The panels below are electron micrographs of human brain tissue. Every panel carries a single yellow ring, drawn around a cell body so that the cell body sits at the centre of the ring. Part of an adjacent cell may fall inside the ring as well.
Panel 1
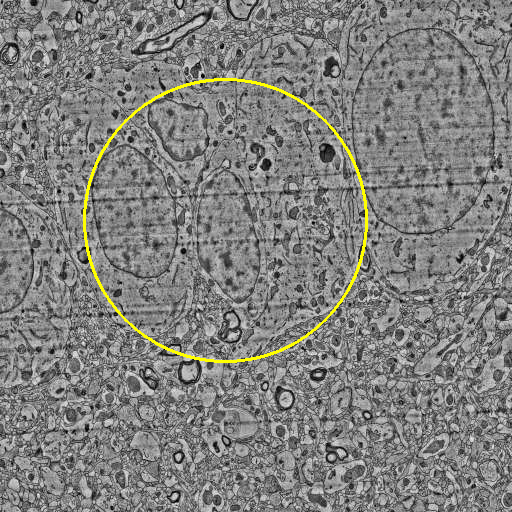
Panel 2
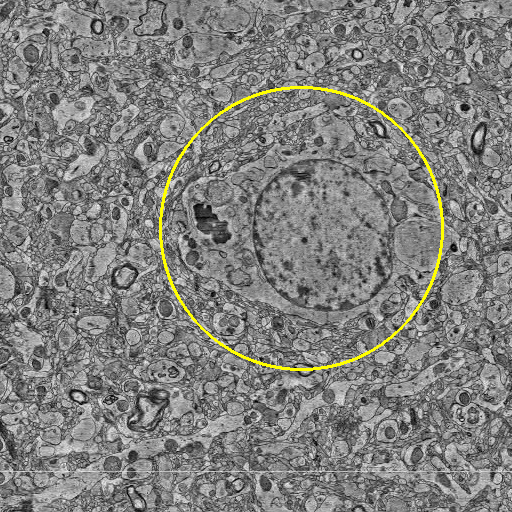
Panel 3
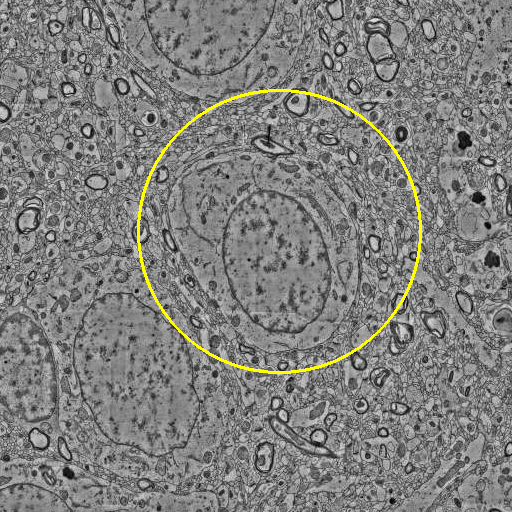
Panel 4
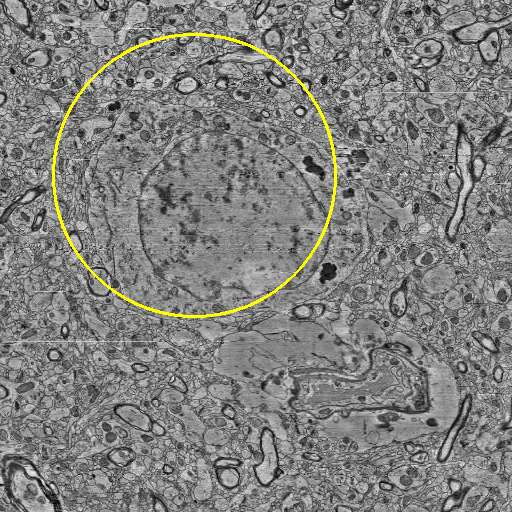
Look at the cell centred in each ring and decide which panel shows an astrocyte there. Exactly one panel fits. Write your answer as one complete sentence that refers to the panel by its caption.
Panel 2 has it at the centre of its ring.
